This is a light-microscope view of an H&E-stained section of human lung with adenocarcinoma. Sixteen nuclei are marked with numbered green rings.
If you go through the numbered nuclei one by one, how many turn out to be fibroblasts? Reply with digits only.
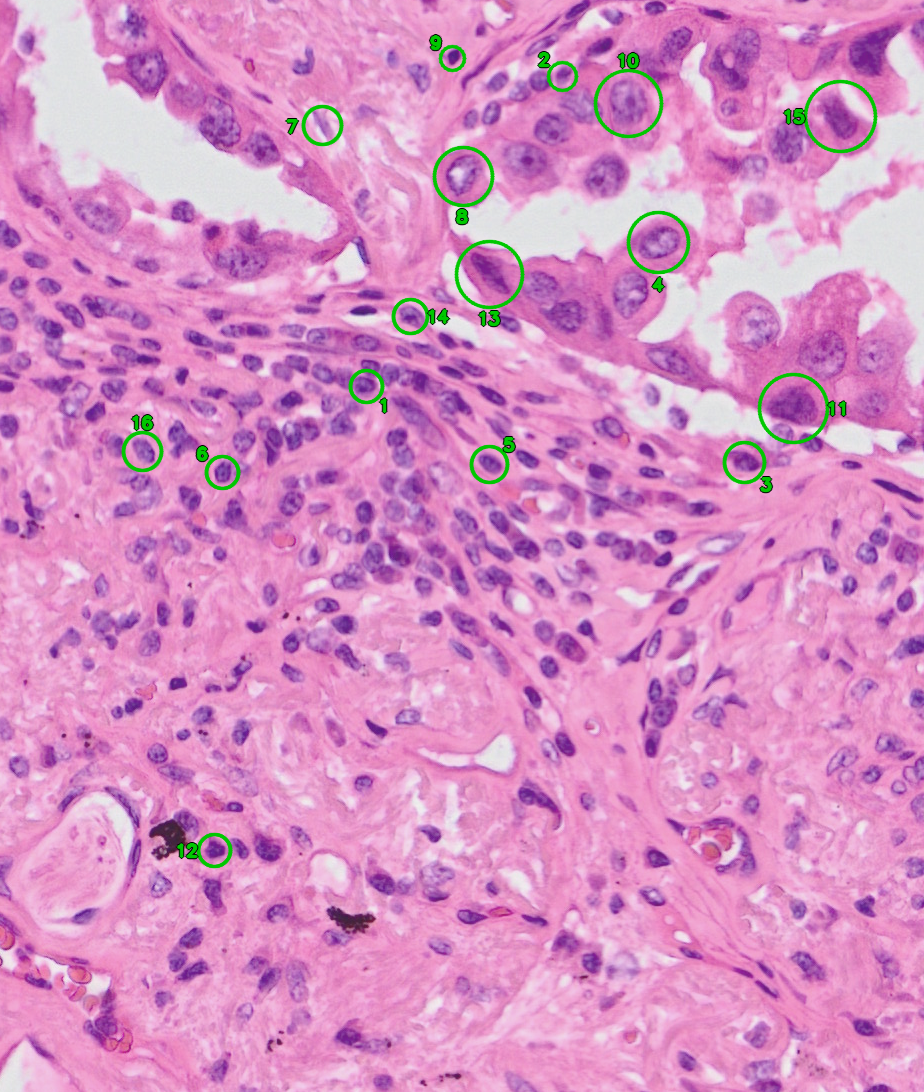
1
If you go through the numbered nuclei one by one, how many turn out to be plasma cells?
2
